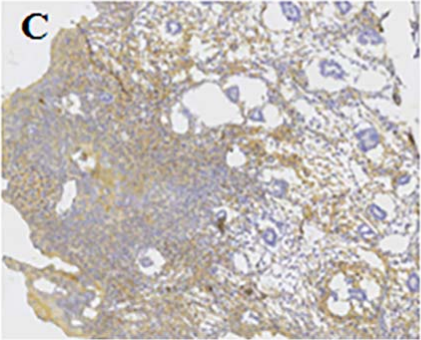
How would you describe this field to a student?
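Section of glandular tissue with round and tubular glands lined by a single layer of blue-nucleated epithelium set in a cellular stroma. Brown staining is dense and widespread in the stroma, strongest in a compact area at the left, where the cells are crowded. The gland linings stay largely blue, with the brown lying mainly around them. Toward the right the stroma is looser, with clear spaces, and is less heavily stained.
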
